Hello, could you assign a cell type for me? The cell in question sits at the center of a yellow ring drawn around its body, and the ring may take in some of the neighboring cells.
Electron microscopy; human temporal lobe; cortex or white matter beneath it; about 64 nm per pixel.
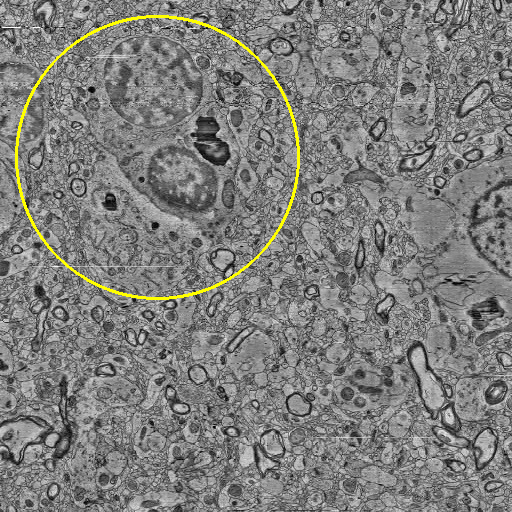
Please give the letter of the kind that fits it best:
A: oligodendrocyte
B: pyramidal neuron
A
